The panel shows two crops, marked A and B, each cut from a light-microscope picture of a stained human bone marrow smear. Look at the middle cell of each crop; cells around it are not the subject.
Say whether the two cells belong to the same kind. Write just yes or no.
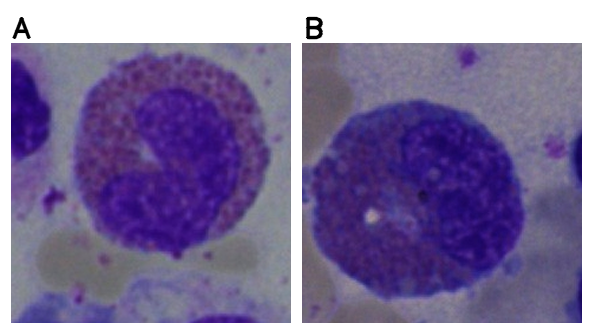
yes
